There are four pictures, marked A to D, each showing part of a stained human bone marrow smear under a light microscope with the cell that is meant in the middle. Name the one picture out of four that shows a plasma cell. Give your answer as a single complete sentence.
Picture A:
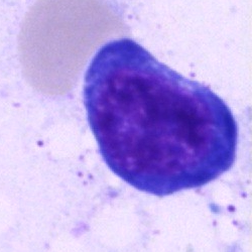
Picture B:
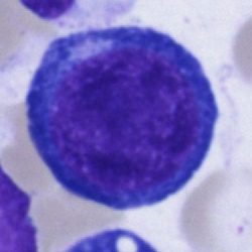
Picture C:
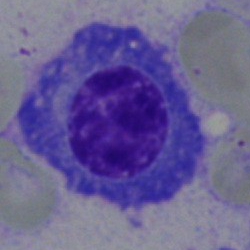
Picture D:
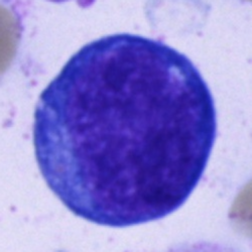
The cell in picture C is the plasma cell.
